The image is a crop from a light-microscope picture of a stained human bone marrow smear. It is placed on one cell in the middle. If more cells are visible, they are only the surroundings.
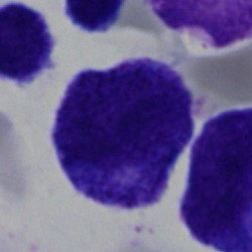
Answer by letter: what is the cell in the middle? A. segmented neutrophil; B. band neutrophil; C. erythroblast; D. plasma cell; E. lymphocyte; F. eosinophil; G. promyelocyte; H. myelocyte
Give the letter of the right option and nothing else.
G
